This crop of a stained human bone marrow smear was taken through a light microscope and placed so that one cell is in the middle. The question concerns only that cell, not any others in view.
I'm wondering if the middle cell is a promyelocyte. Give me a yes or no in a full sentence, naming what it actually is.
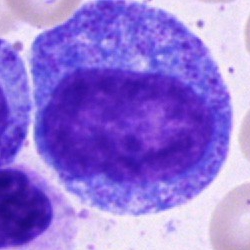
Yes, it is a promyelocyte that lies in the middle.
